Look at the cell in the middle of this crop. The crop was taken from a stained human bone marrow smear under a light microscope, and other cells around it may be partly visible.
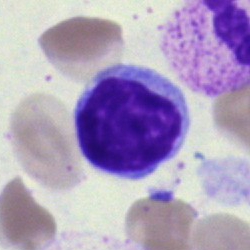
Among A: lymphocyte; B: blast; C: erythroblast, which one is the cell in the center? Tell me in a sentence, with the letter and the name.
Here the central cell is a lymphocyte, and option A is correct.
